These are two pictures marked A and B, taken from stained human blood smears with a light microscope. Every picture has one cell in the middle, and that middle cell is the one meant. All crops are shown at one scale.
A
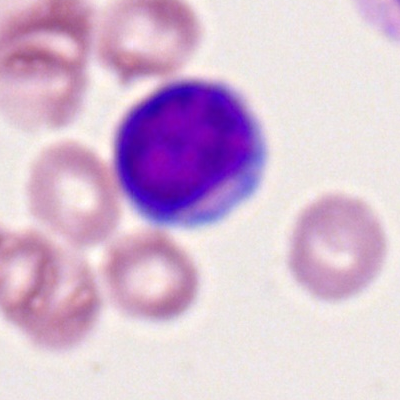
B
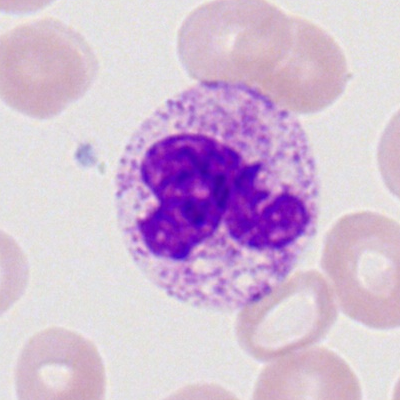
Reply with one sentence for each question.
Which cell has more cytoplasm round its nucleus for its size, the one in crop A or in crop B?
In crop B the nucleus takes up the smaller part of its cell.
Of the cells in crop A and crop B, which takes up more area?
Larger is the cell in crop B, at roughly 2 times the area of the other.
